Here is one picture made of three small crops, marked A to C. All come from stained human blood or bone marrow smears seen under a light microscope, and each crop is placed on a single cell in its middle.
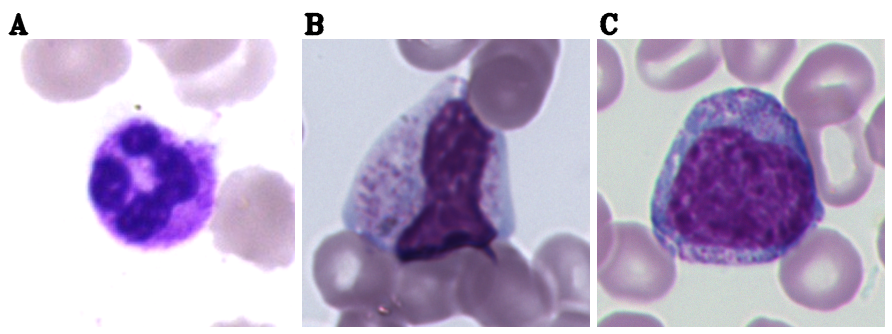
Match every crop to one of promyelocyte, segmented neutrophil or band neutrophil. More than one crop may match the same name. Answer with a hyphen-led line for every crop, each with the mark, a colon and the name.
- A: segmented neutrophil
- B: band neutrophil
- C: promyelocyte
